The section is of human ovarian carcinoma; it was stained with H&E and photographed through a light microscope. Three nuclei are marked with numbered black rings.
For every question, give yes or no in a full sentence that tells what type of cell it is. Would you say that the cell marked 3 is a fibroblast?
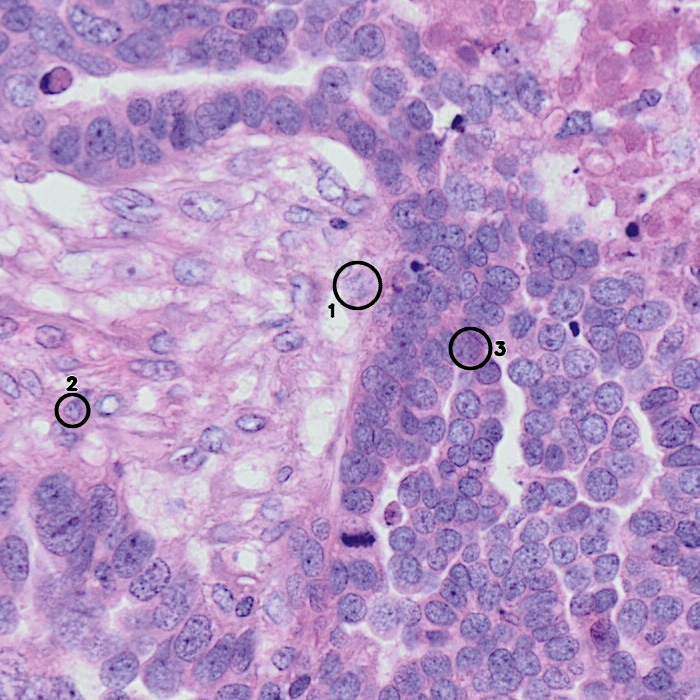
No, number 3 belongs to a carcinoma cell, not to a fibroblast.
